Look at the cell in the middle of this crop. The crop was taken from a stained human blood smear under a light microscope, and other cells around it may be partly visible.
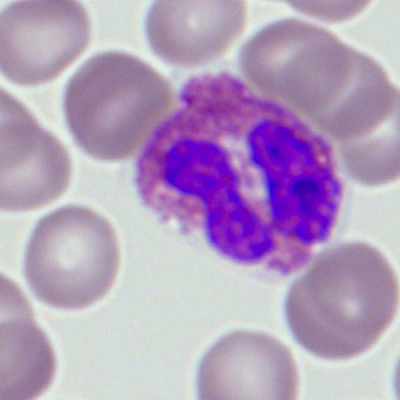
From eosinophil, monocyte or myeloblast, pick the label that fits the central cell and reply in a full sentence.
This particular crop is centered on an eosinophil.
